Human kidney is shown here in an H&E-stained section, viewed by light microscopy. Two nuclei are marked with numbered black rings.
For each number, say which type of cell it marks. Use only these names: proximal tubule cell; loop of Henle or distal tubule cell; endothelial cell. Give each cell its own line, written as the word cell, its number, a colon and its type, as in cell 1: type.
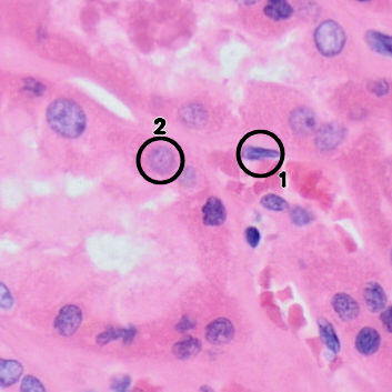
cell 1: endothelial cell
cell 2: proximal tubule cell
